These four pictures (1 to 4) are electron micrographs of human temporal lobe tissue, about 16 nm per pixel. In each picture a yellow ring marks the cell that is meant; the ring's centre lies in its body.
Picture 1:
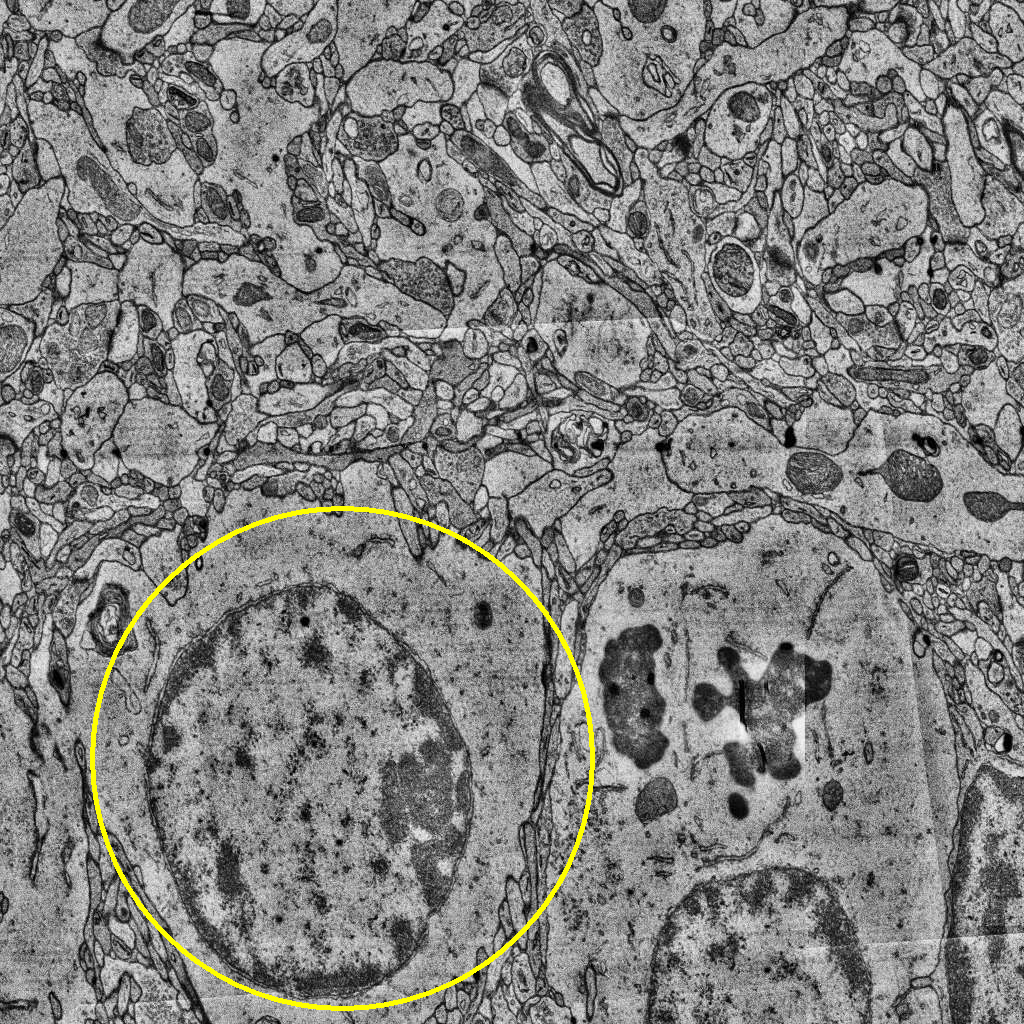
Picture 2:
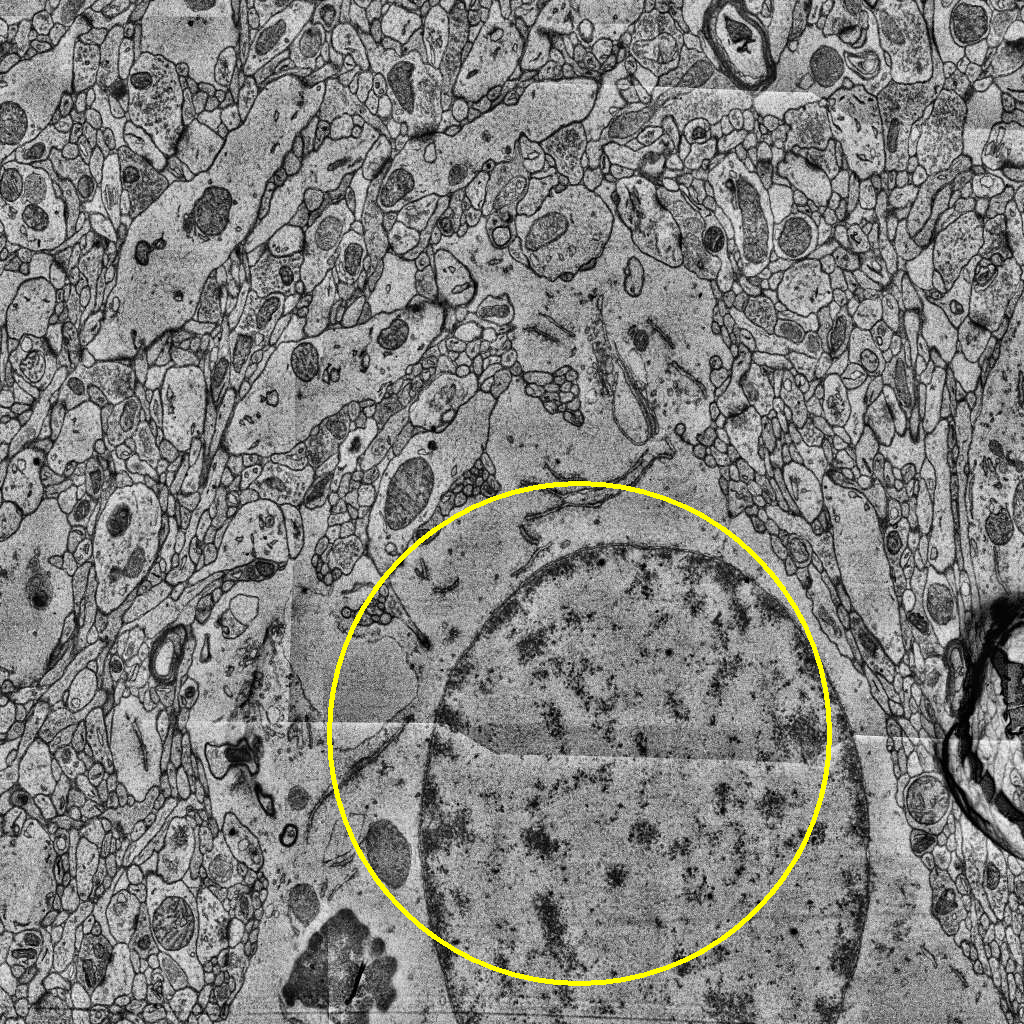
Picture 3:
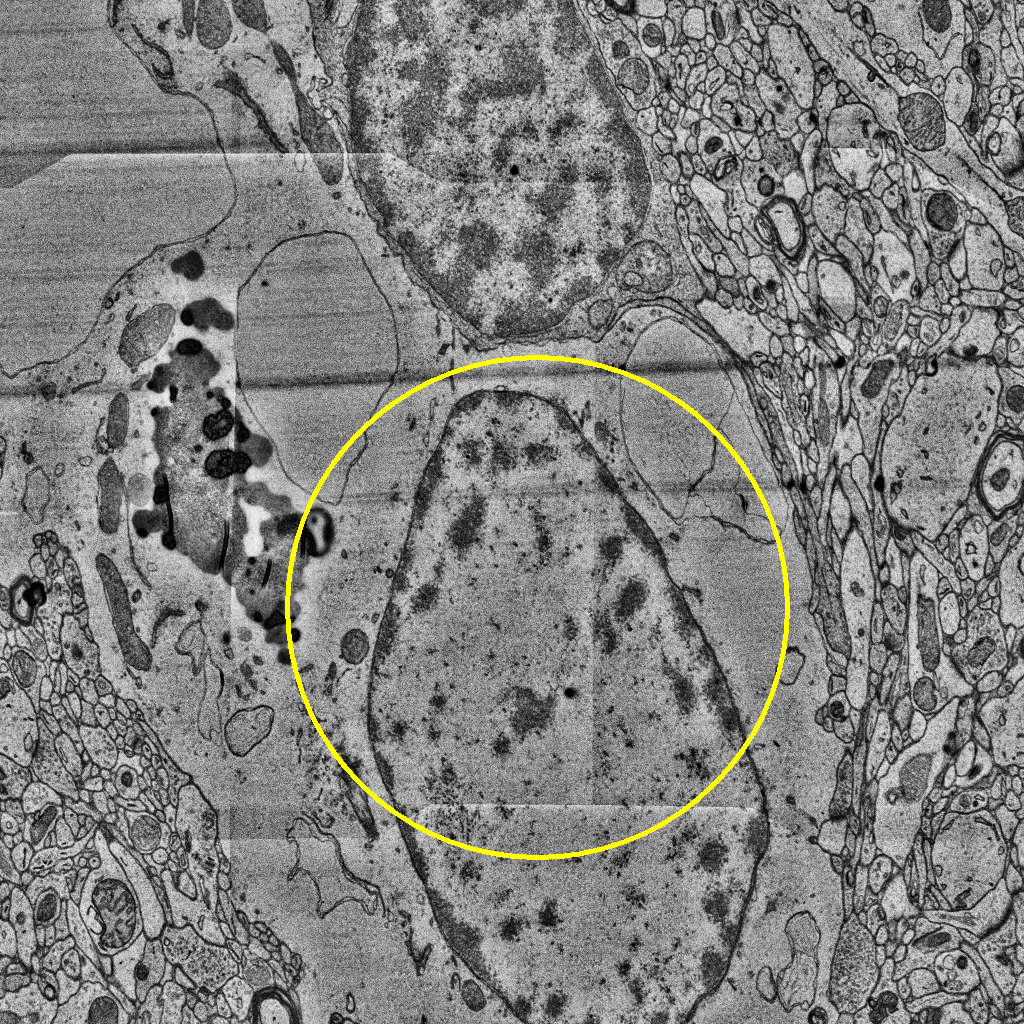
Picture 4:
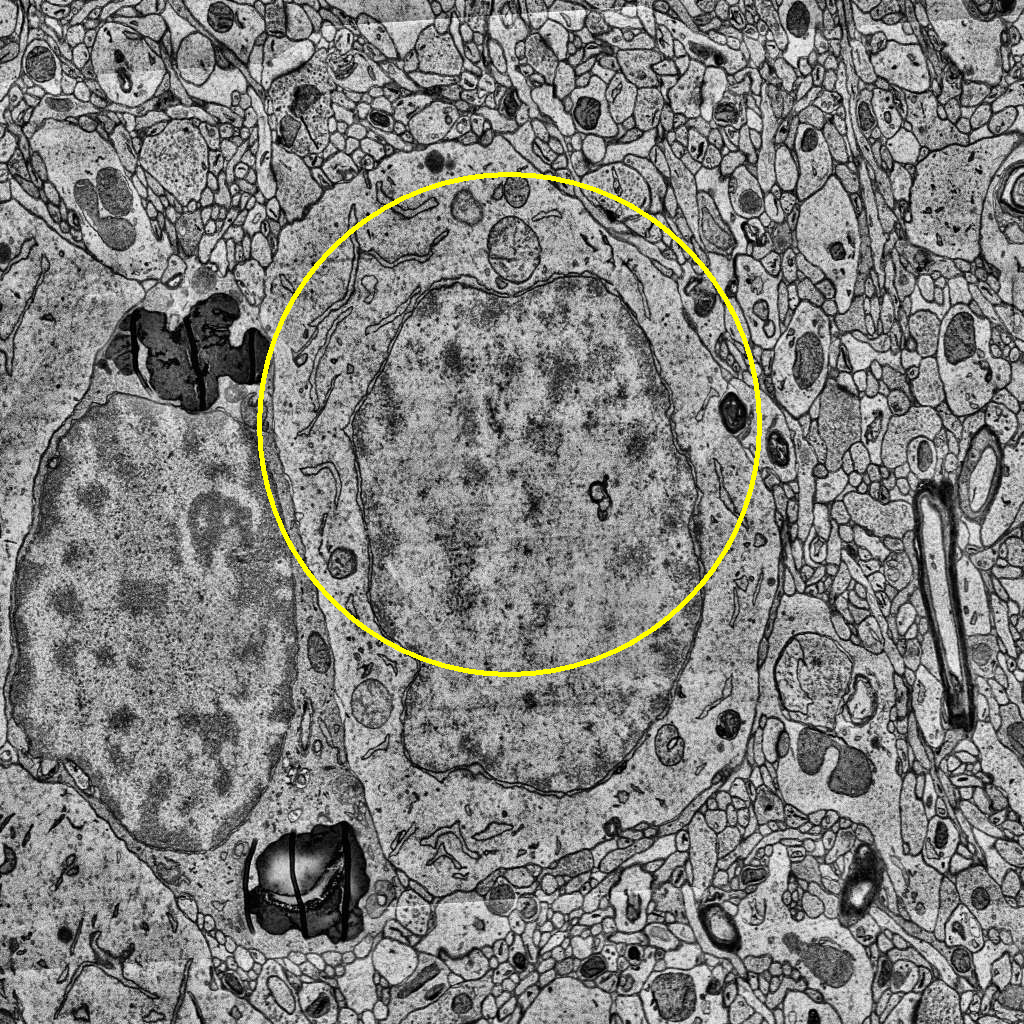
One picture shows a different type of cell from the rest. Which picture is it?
Picture 4 differs, because its cell is an interneuron and the rest are astrocytes.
